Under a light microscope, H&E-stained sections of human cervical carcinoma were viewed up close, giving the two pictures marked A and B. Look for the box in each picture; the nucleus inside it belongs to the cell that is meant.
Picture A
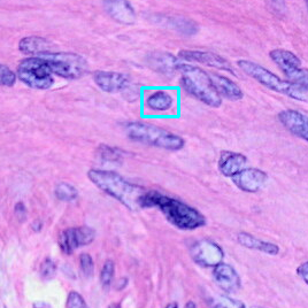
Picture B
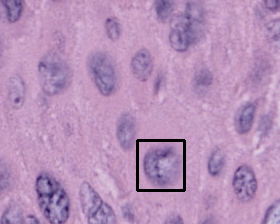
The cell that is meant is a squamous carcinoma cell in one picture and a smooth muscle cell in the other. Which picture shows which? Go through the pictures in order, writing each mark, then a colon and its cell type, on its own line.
A: smooth muscle cell
B: squamous carcinoma cell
